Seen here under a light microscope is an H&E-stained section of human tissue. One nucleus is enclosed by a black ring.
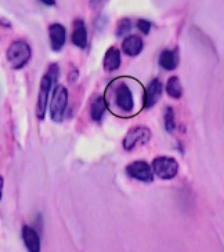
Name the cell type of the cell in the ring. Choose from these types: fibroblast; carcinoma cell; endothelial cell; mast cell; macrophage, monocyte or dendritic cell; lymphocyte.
lymphocyte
